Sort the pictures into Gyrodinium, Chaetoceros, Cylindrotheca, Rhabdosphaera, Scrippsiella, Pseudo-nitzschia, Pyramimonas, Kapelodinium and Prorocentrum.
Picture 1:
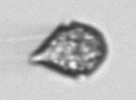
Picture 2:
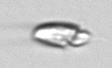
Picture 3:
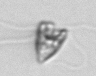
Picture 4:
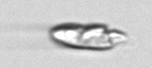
Scrippsiella: 1
Kapelodinium: 2, 4
Pyramimonas: 3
